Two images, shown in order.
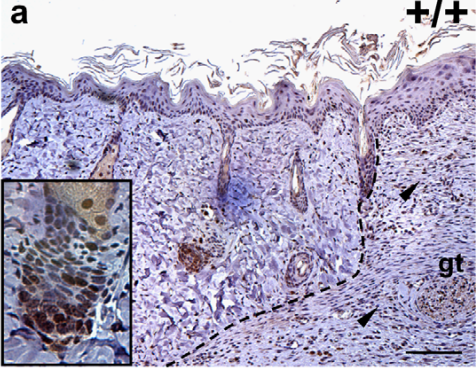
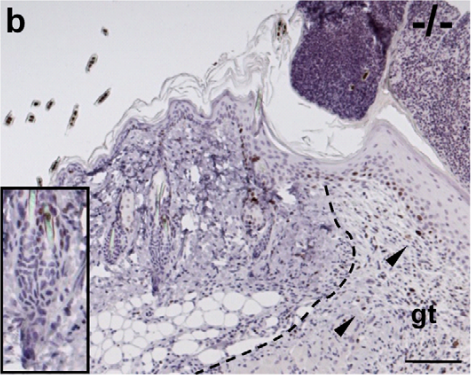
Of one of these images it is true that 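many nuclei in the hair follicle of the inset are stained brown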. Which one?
The first image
